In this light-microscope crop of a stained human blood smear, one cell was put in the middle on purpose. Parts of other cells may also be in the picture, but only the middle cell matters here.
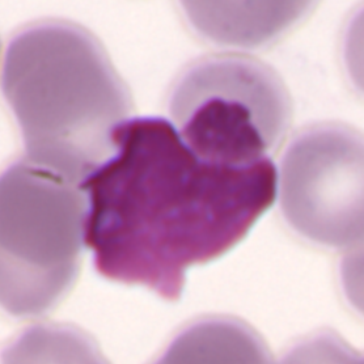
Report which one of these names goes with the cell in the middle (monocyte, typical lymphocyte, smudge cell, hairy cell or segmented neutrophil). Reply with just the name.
smudge cell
